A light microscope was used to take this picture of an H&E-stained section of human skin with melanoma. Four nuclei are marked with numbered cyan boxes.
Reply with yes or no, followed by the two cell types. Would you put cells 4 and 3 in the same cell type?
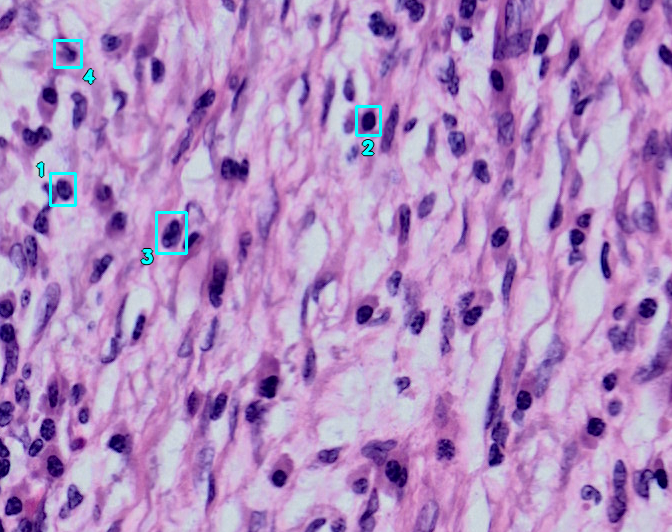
No, cell 3 is a lymphocyte, whereas cell 4 is a plasma cell.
